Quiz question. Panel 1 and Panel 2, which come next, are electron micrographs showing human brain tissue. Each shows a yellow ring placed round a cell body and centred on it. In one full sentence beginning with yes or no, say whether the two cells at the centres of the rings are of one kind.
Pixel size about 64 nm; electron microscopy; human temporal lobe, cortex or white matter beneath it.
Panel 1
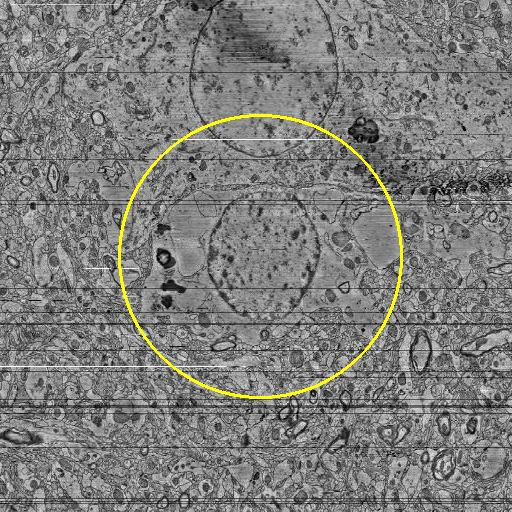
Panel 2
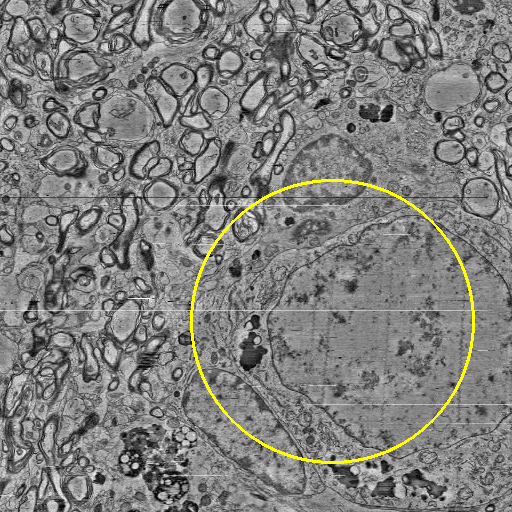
No, Panel 1 and Panel 2 show two kinds of cell at the centre of the ring.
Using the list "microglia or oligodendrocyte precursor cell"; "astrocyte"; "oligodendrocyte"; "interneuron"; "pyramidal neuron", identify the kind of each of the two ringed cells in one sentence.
The first is an astrocyte and the second is a pyramidal neuron.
